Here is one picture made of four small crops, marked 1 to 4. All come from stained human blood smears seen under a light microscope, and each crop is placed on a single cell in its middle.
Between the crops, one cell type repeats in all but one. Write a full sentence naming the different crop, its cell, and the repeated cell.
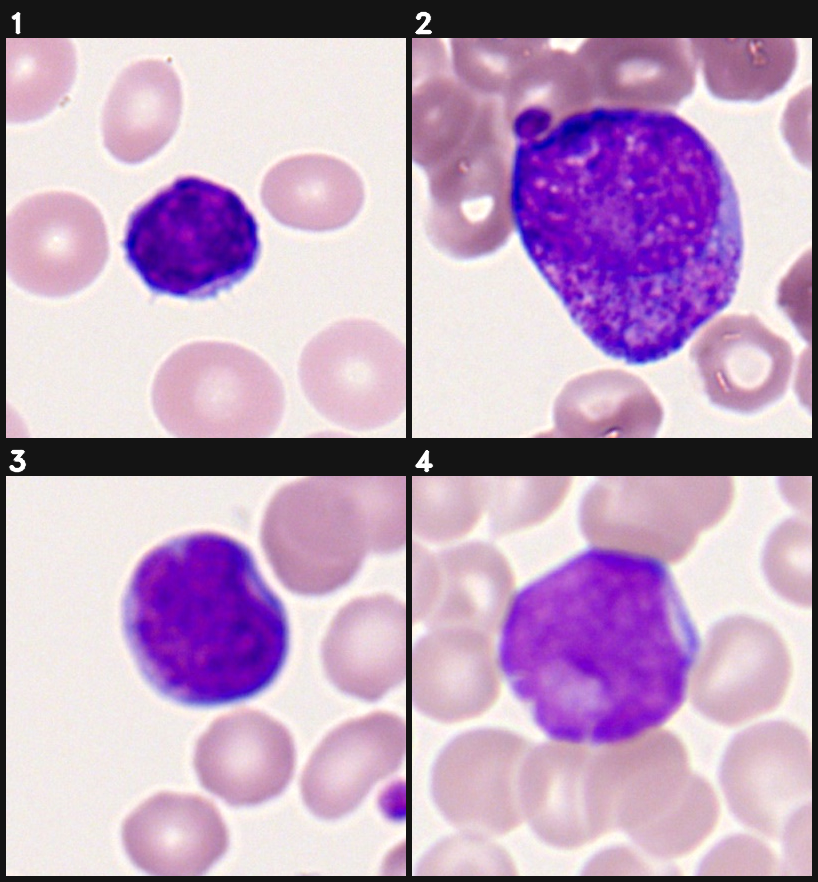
Identified in crop 1 is a lymphocyte, whereas the other crops all show blasts.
